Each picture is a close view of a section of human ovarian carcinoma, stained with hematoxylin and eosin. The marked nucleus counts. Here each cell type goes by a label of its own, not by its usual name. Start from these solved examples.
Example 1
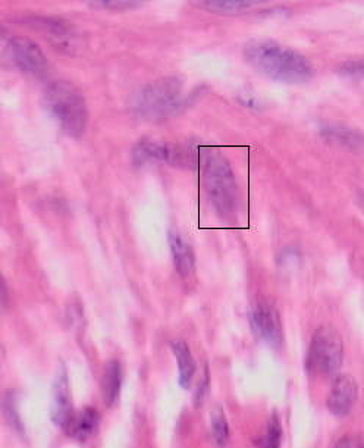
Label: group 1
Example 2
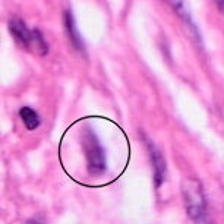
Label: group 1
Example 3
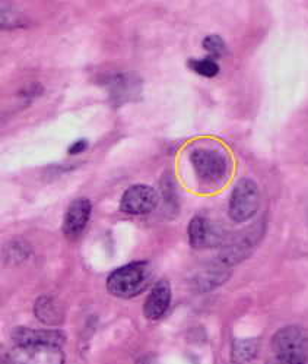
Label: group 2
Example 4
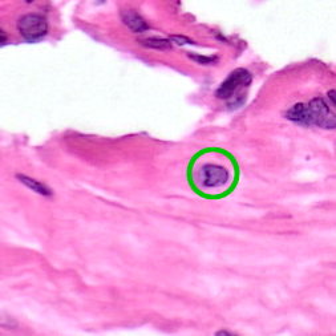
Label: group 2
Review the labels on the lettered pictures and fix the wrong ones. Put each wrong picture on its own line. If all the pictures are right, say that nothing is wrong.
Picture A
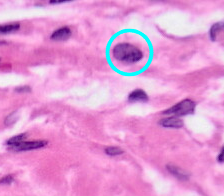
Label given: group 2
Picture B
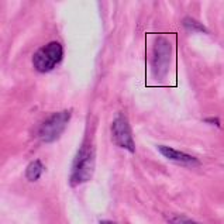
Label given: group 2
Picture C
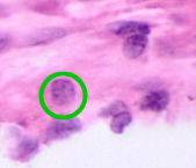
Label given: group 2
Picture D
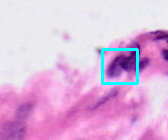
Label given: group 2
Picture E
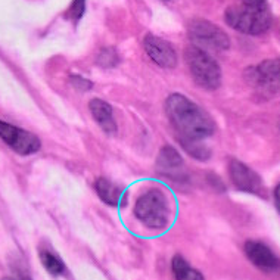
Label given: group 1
B: not group 2 but group 1
E: not group 1 but group 2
